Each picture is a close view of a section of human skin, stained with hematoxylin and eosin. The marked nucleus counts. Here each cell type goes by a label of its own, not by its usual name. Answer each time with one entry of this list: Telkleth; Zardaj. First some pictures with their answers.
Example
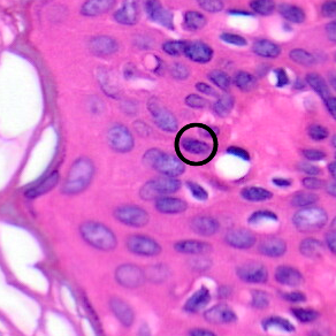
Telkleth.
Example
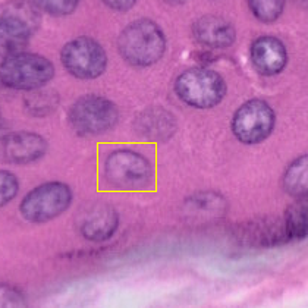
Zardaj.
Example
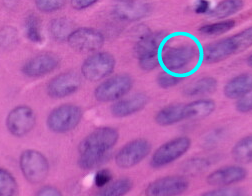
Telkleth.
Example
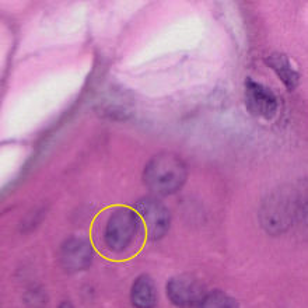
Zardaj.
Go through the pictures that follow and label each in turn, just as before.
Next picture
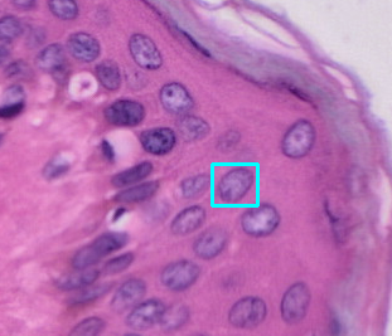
Zardaj.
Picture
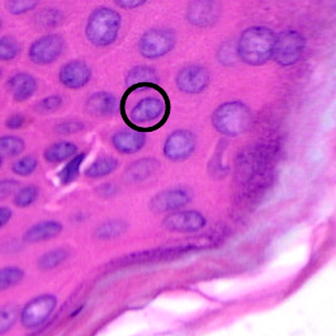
Zardaj.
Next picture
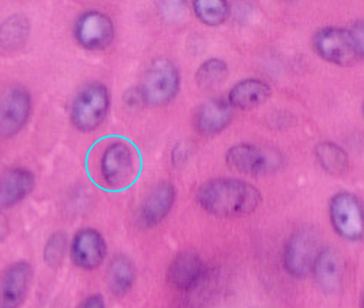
Zardaj.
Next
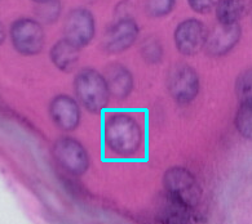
Zardaj.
